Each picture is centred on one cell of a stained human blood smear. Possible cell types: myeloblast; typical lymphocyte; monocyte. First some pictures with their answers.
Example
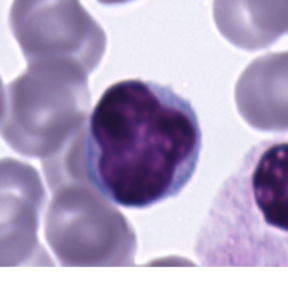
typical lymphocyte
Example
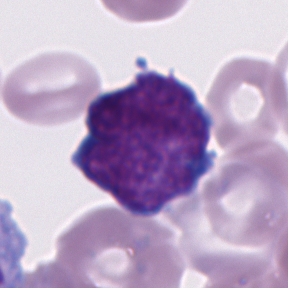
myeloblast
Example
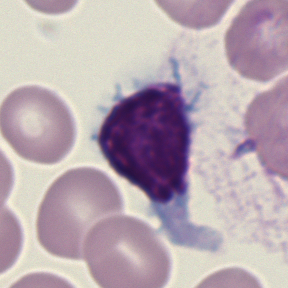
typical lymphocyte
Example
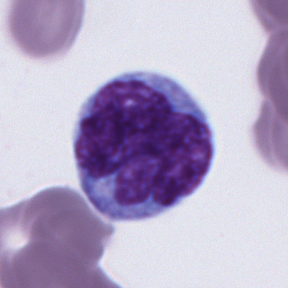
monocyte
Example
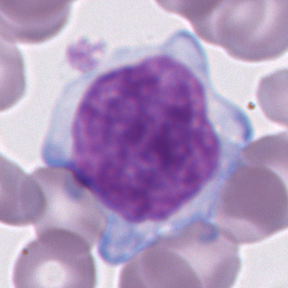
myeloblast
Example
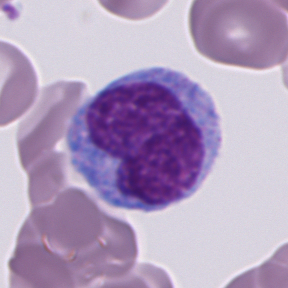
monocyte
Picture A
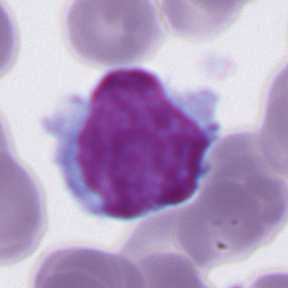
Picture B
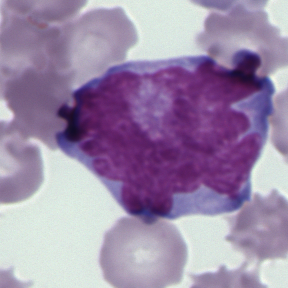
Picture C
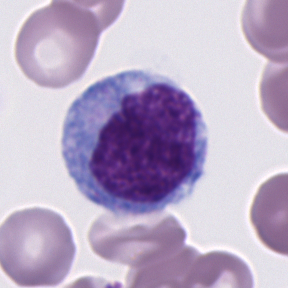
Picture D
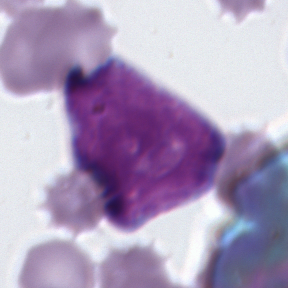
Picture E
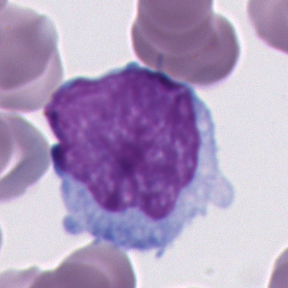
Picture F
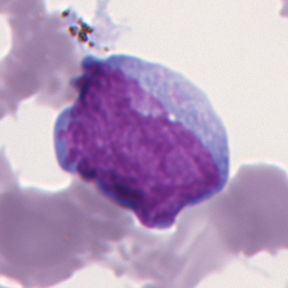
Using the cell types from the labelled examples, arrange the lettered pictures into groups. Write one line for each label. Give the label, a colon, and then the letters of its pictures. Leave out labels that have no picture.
myeloblast: B, D, E, F
typical lymphocyte: A
monocyte: C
